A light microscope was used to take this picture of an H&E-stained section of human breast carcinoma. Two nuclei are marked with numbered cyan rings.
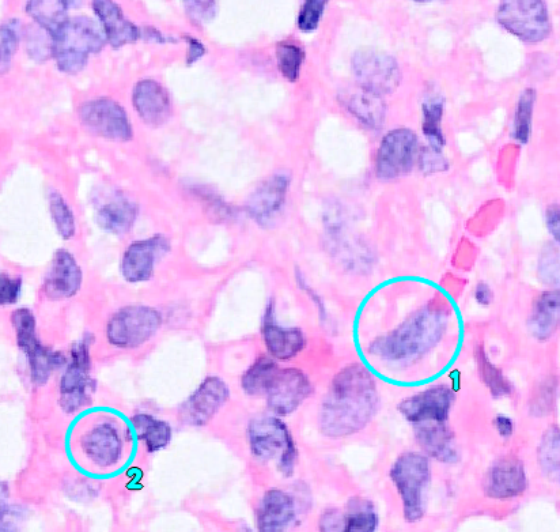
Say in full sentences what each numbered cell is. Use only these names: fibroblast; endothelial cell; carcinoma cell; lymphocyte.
Cell 1 is an endothelial cell and cell 2 is a carcinoma cell.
